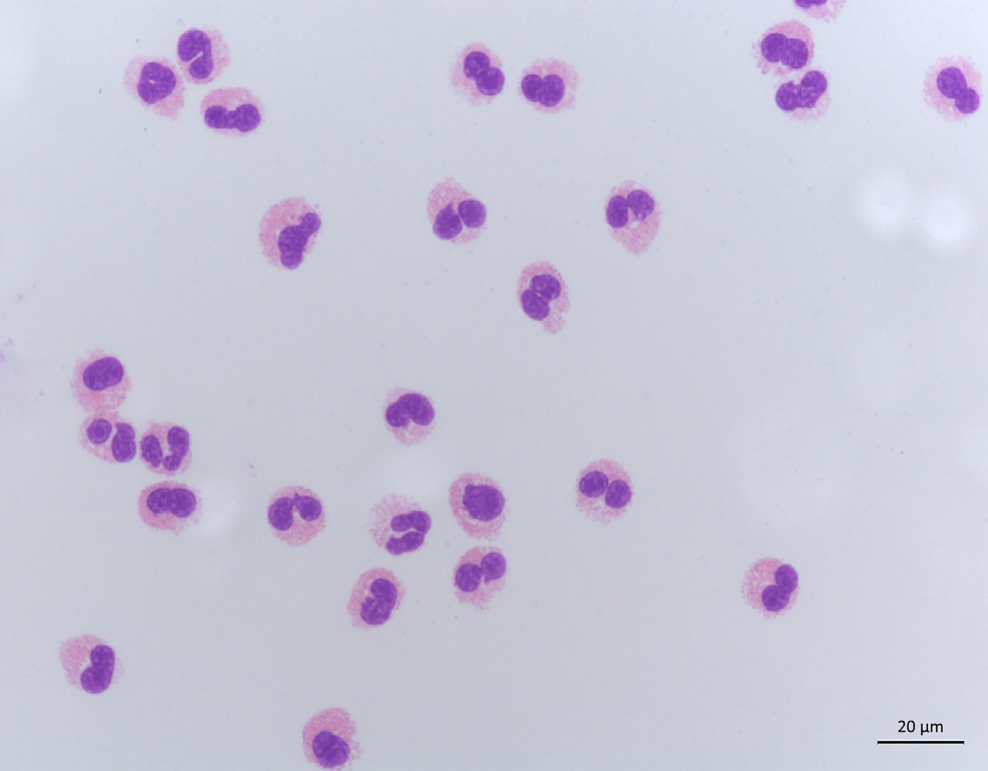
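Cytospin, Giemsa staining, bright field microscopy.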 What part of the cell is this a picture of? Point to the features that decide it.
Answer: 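Bilobed nuclei. Each nucleus is dark purple. Most nuclei consist of two rounded lobes lying side by side.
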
